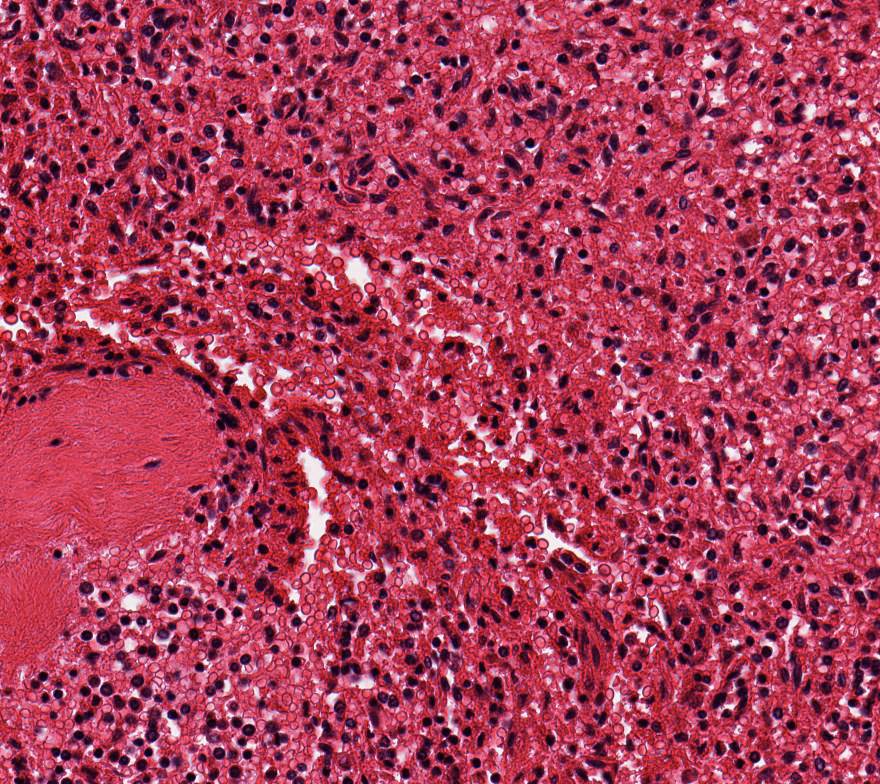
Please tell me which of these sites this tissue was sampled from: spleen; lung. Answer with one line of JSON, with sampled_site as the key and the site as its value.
{"sampled_site": "spleen"}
